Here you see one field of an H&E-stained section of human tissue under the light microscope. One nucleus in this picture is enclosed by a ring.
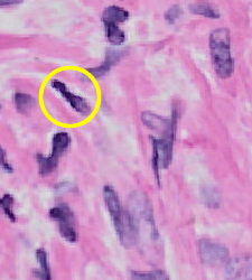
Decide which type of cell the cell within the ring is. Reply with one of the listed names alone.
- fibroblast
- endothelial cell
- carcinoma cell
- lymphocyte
fibroblast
